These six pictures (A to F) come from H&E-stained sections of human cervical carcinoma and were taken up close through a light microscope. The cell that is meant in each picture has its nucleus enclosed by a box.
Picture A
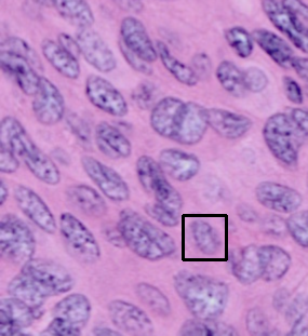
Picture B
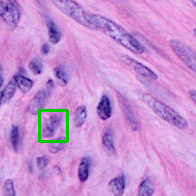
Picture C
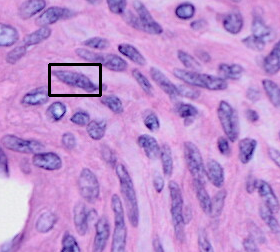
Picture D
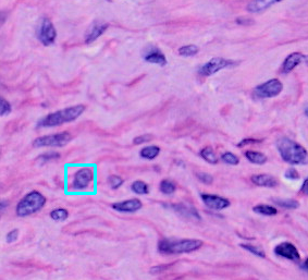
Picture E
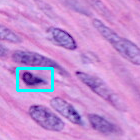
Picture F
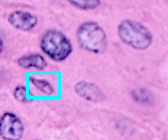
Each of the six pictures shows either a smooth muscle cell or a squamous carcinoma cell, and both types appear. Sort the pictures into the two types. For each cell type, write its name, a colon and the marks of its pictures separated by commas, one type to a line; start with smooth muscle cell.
smooth muscle cell: B, C, D, E
squamous carcinoma cell: A, F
